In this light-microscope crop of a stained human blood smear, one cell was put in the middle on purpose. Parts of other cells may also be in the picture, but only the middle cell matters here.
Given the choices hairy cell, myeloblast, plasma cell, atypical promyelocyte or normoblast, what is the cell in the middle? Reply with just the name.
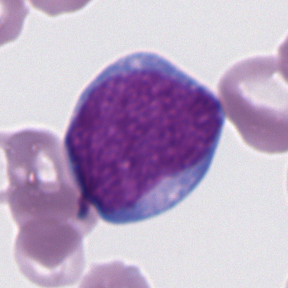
myeloblast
